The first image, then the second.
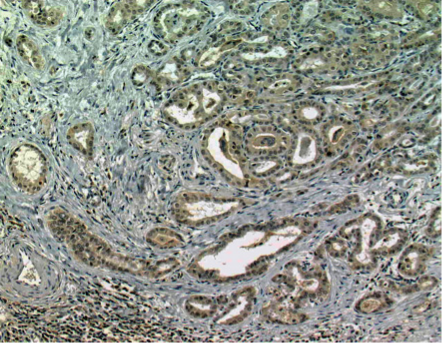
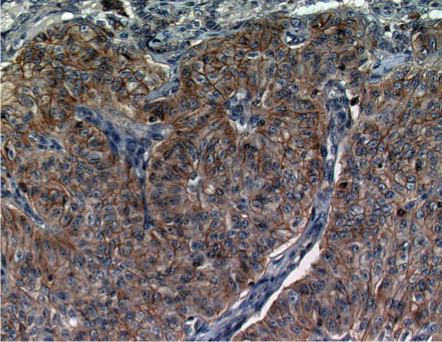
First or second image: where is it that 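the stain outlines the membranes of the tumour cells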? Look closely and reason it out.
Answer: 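The second image. First image: the brown colour is faint and spread through the cell bodies without outlining cell borders.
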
